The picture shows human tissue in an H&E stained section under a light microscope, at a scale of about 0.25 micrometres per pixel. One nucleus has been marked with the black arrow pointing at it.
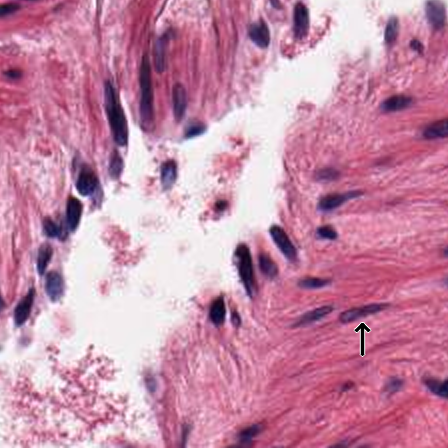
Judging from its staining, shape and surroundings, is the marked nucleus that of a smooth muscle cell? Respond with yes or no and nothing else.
yes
